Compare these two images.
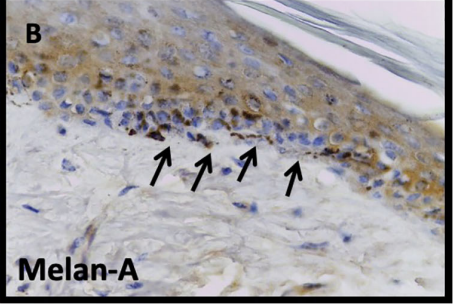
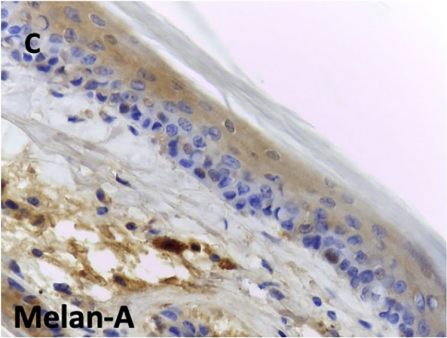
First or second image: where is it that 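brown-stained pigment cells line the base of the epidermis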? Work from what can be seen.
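Second image: the base of the epidermis shows no row of dark brown cells. First image: a row of dark brown cells runs along the base of the epidermis.
Conclusion: the first image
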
